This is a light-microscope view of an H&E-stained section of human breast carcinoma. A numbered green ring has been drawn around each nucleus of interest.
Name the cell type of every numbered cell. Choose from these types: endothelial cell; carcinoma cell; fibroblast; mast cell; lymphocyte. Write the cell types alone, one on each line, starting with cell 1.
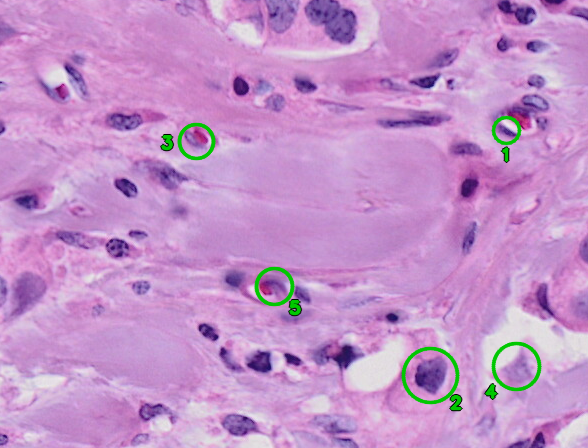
endothelial cell
carcinoma cell
endothelial cell
fibroblast
endothelial cell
